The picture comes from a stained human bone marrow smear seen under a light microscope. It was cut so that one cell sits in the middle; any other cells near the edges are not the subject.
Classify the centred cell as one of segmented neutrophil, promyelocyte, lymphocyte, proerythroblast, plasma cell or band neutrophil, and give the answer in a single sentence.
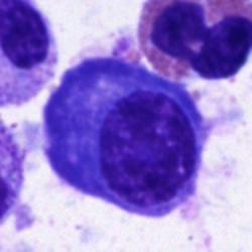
Of the cells in this crop, the central one is a plasma cell.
